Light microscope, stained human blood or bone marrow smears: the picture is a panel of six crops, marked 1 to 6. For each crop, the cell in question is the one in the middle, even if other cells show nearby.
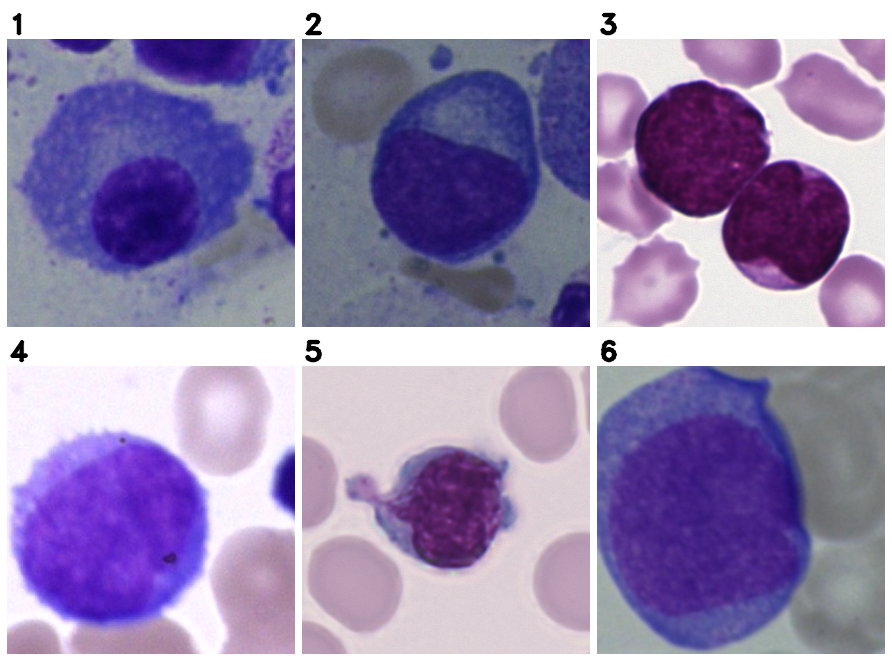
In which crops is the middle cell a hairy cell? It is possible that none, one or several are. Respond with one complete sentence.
In each of the crops, a hairy cell is not the cell shown.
